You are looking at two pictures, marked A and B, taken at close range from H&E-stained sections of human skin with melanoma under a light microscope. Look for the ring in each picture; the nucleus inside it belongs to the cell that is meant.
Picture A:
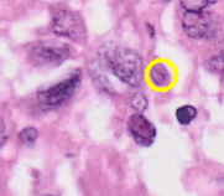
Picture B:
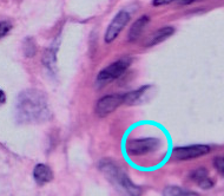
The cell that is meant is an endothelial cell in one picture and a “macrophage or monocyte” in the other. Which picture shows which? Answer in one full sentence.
In picture A the cell is a “macrophage or monocyte”; in picture B, an endothelial cell.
